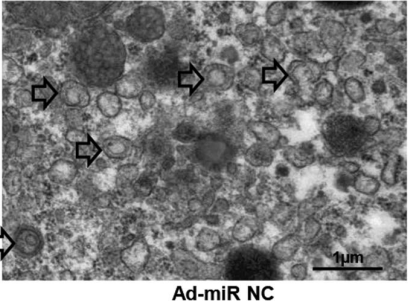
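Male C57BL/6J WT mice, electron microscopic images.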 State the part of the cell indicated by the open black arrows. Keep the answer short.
Autophagosomes/autolysosomes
